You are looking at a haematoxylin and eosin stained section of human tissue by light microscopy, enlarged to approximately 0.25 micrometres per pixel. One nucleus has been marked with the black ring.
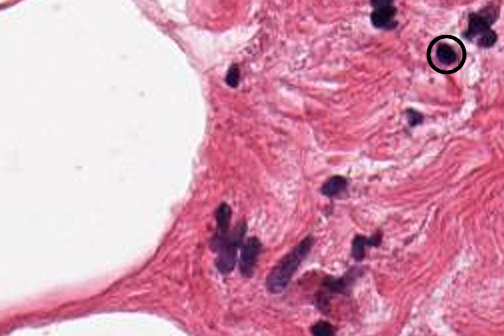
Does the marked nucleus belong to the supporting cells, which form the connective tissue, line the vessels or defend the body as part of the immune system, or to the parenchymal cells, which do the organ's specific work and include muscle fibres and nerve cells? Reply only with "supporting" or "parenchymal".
supporting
